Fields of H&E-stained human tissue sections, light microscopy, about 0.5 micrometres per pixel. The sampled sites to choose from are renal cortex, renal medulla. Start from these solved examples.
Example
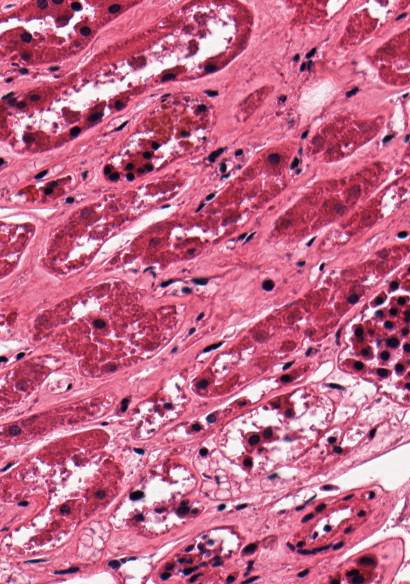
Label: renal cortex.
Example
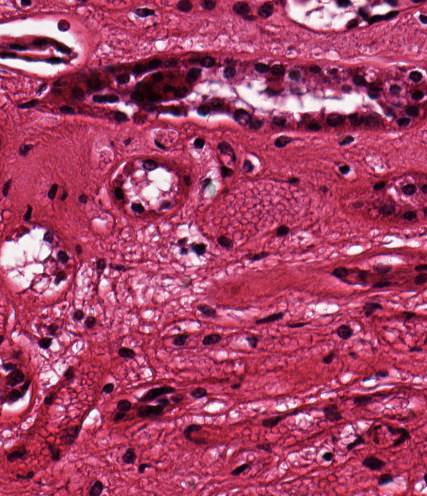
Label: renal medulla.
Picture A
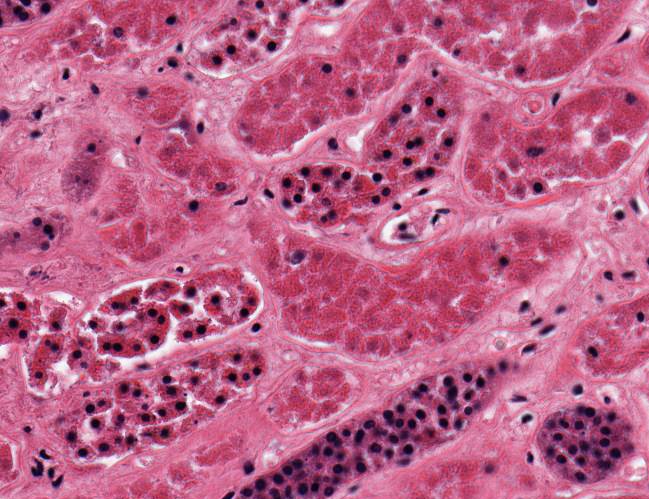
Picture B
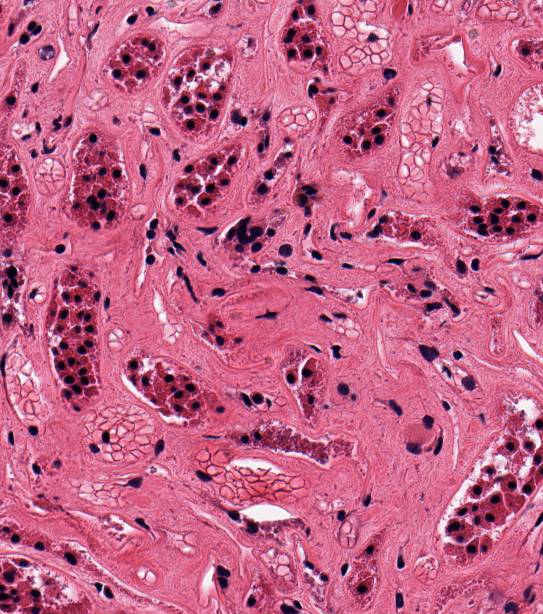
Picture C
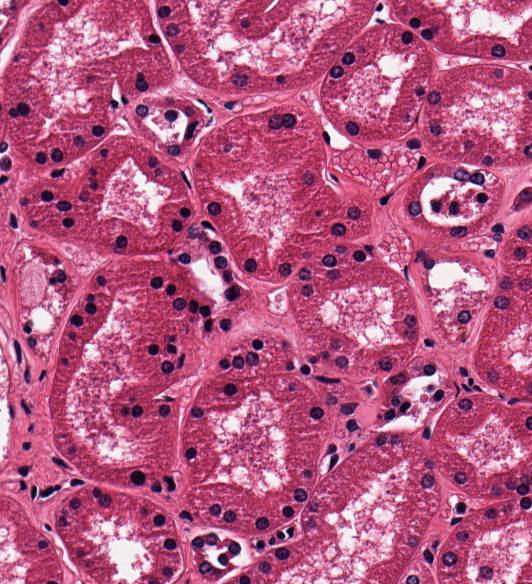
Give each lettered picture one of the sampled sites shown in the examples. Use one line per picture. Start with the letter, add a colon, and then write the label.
A: renal cortex.
B: renal cortex.
C: renal medulla.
